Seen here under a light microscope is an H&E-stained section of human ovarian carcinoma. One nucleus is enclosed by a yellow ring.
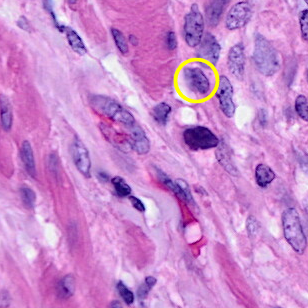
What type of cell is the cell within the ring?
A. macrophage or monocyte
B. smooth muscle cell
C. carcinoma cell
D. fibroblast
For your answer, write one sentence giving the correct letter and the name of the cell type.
Of the options offered, A is correct, as the cell within the ring is a macrophage or monocyte.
